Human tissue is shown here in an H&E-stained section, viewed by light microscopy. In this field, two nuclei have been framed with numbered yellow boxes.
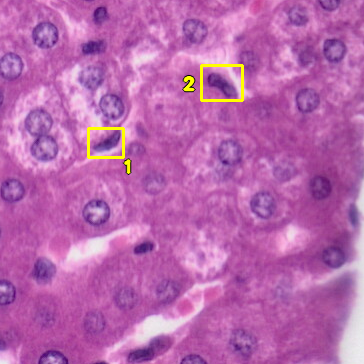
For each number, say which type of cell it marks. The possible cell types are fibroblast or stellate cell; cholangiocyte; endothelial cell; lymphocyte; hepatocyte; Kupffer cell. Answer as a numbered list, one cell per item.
1. endothelial cell
2. Kupffer cell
